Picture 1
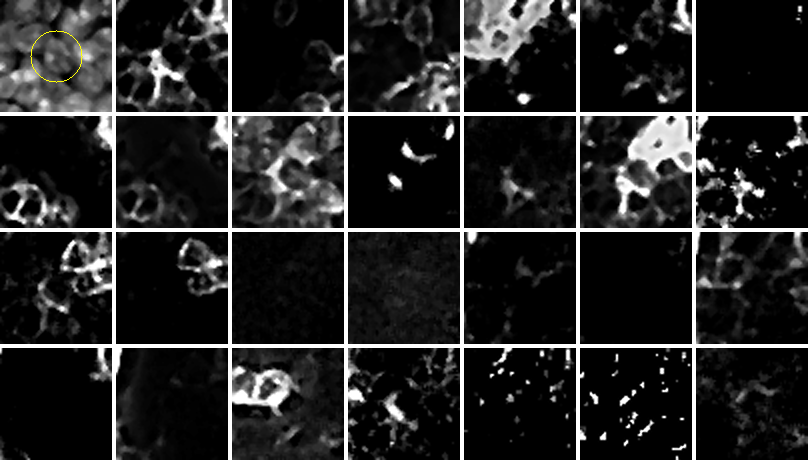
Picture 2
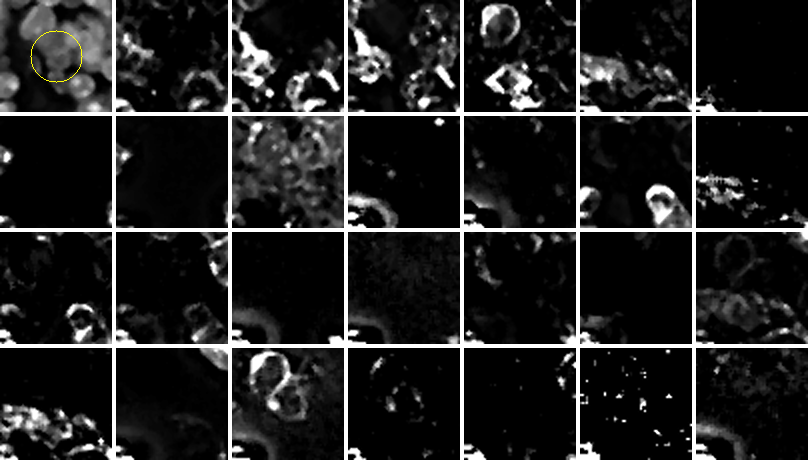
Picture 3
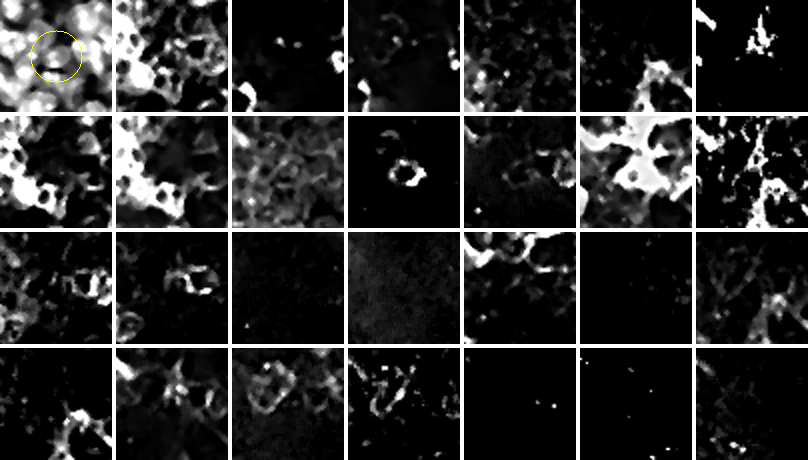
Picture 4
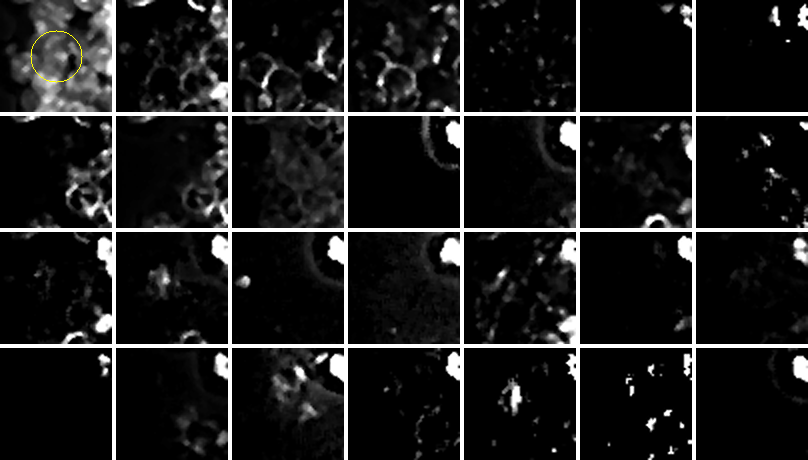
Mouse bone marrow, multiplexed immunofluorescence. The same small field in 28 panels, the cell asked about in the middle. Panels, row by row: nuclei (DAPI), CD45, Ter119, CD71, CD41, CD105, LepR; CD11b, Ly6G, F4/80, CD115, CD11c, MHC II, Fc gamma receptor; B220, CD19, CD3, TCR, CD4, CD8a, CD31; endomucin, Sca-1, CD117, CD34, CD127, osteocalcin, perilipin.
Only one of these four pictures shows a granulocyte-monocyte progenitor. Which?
Picture 1.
